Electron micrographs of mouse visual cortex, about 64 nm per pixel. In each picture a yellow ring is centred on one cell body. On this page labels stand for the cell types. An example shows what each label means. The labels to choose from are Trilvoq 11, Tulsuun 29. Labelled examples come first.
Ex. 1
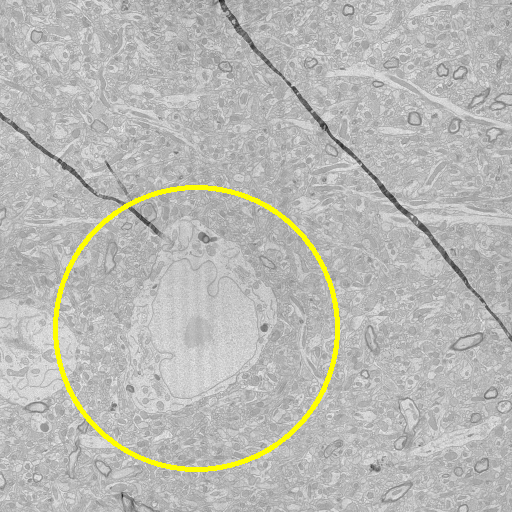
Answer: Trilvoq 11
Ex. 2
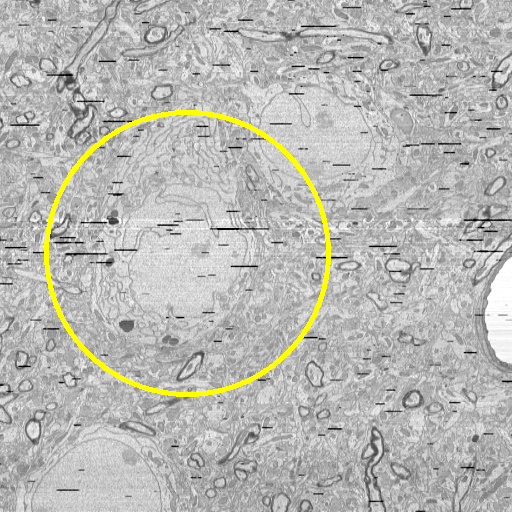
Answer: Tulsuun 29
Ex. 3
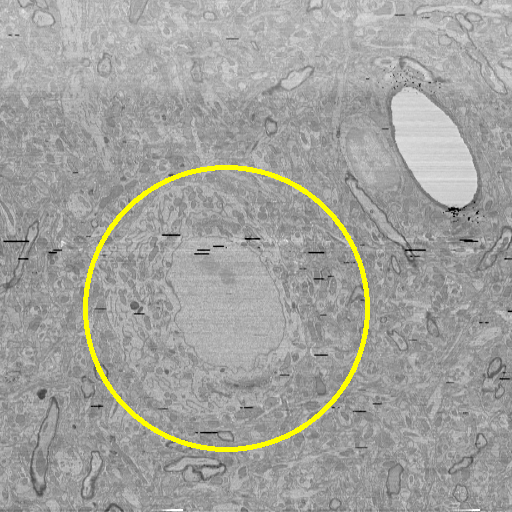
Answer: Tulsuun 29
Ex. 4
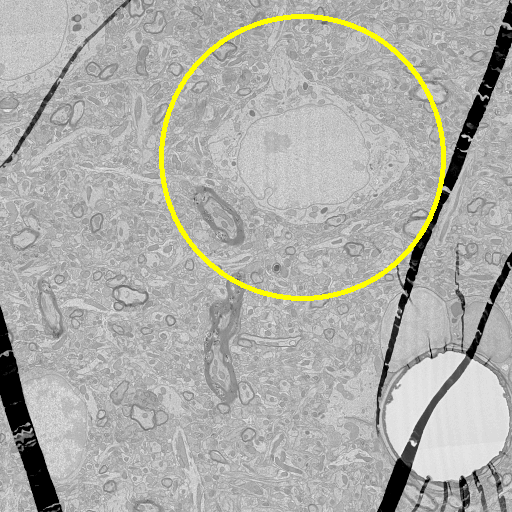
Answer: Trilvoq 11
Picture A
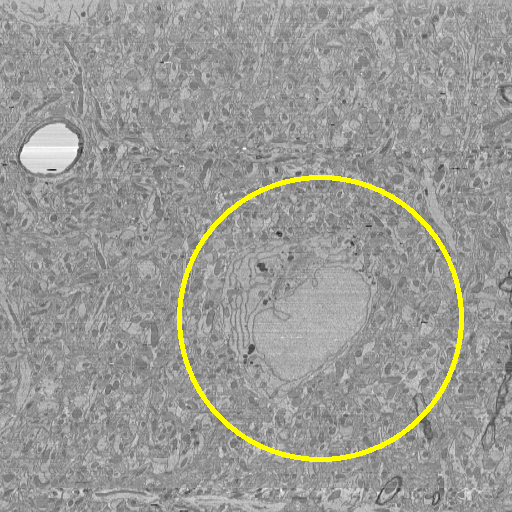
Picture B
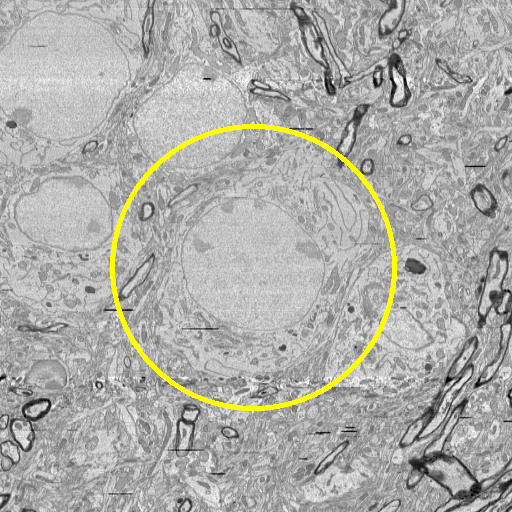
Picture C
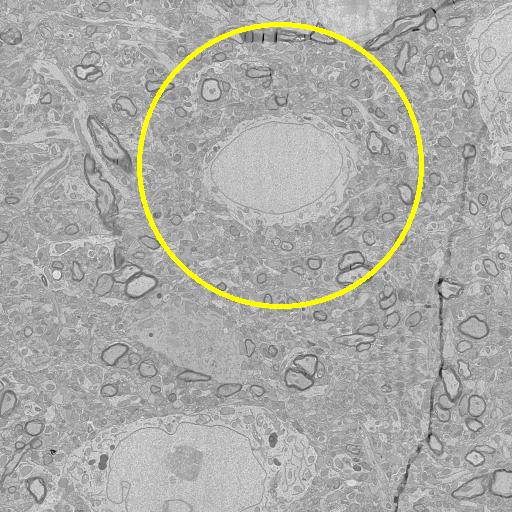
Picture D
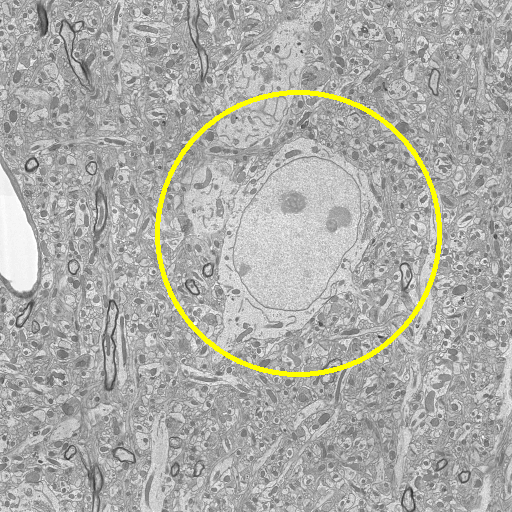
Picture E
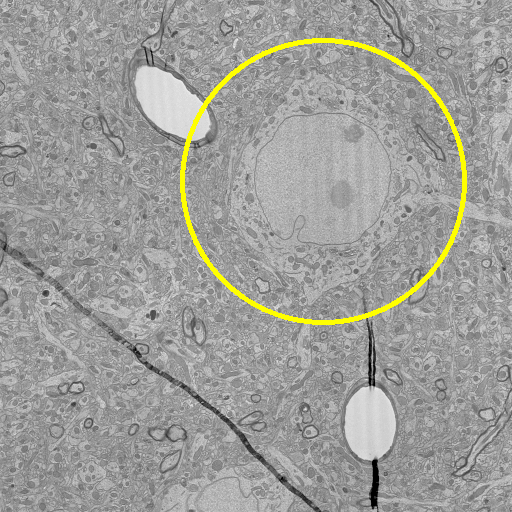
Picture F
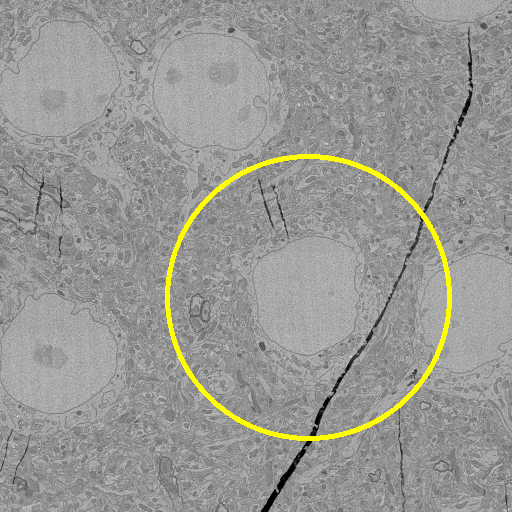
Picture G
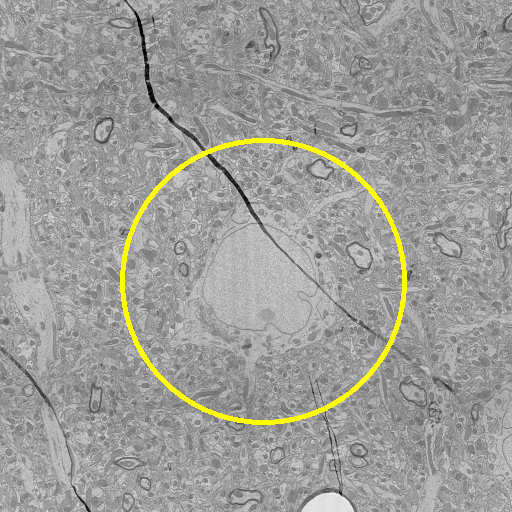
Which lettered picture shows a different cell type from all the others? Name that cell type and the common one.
Picture A: Tulsuun 29. All others: Trilvoq 11.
